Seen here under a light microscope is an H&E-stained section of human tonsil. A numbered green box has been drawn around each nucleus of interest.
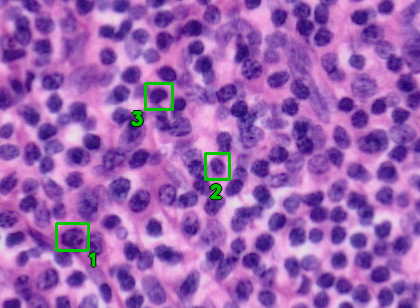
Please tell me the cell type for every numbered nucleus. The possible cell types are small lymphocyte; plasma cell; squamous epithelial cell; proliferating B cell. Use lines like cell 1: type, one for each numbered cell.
cell 1: plasma cell
cell 2: small lymphocyte
cell 3: small lymphocyte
